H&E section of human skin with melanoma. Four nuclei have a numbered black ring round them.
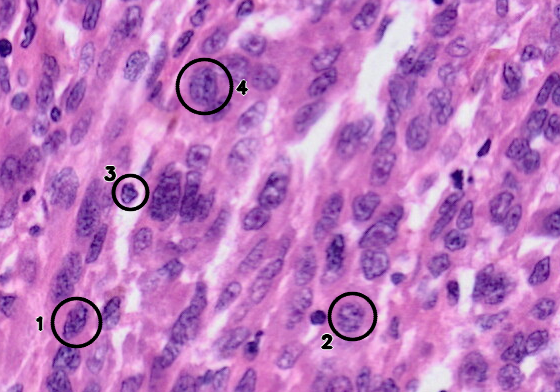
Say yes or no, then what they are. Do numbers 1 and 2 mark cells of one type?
Yes, sure, cells 1 and 2 are both melanoma cells.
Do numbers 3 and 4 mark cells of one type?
No, classify cell 3 as a lymphocyte and cell 4 as a melanoma cell.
